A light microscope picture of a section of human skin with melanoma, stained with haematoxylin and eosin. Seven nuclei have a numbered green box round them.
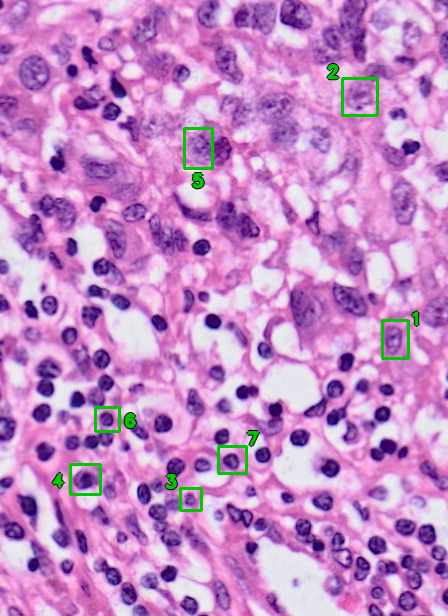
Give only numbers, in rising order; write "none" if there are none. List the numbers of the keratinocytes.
none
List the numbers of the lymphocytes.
3, 4, 6, 7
